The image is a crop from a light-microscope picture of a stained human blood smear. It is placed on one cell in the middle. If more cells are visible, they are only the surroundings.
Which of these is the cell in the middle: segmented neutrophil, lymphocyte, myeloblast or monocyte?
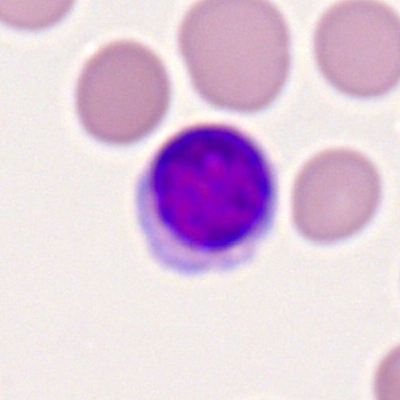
lymphocyte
